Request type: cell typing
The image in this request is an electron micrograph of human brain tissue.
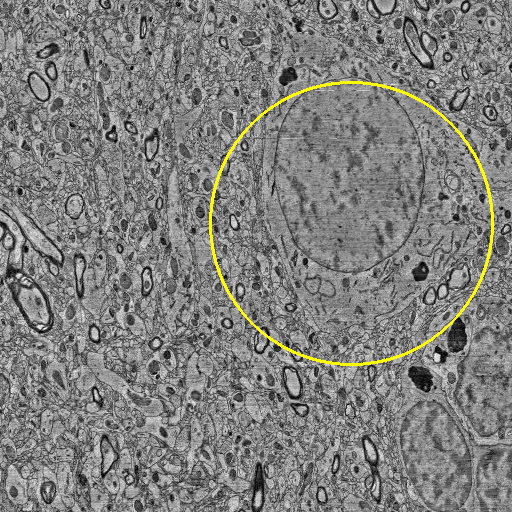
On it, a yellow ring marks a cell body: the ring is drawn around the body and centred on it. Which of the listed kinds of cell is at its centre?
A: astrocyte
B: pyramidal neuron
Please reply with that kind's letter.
B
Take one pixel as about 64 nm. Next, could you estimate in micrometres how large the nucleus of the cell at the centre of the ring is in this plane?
The nucleus has a long axis of about 13 micrometres and a short axis of about 10 micrometres in this plane.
